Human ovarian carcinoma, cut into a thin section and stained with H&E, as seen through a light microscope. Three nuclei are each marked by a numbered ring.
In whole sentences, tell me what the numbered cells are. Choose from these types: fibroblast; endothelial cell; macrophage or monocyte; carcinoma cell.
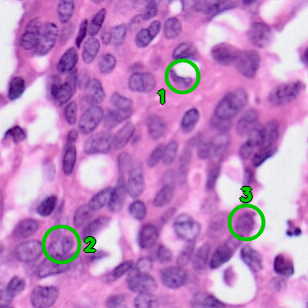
Cell 1 is an endothelial cell. Cells 2 and 3 are carcinoma cells.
